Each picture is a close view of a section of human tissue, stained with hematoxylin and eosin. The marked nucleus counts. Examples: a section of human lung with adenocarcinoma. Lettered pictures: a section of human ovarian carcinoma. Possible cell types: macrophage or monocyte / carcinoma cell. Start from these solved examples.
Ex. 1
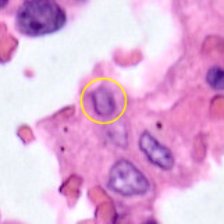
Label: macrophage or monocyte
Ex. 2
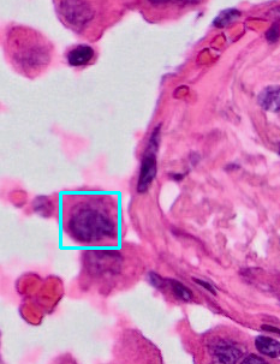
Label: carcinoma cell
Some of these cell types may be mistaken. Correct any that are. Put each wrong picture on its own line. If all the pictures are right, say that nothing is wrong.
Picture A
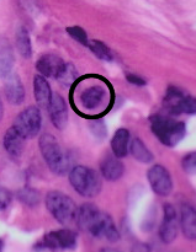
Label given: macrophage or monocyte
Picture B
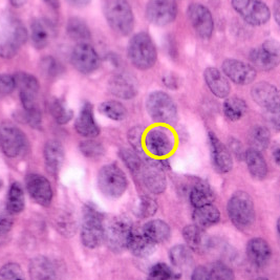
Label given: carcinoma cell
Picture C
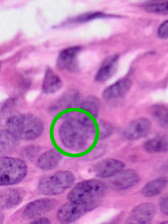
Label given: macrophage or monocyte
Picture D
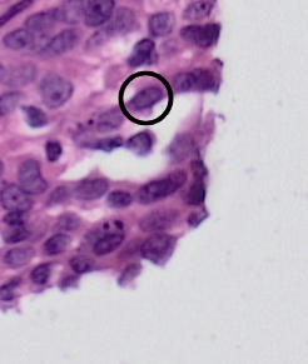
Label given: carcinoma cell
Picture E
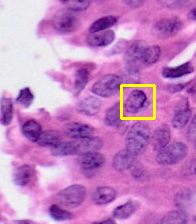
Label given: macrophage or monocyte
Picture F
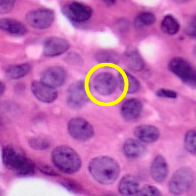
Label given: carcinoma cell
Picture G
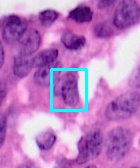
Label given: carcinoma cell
C: change macrophage or monocyte to carcinoma cell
